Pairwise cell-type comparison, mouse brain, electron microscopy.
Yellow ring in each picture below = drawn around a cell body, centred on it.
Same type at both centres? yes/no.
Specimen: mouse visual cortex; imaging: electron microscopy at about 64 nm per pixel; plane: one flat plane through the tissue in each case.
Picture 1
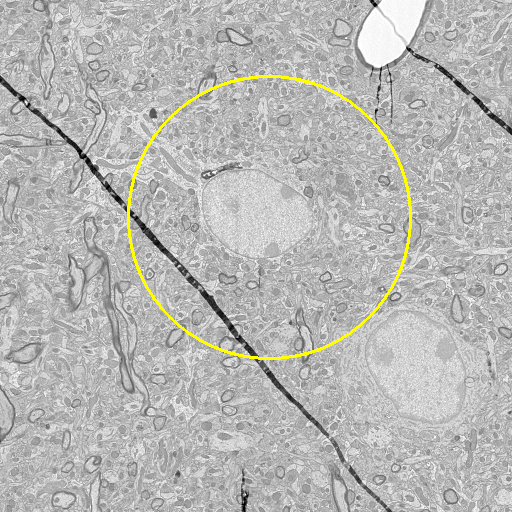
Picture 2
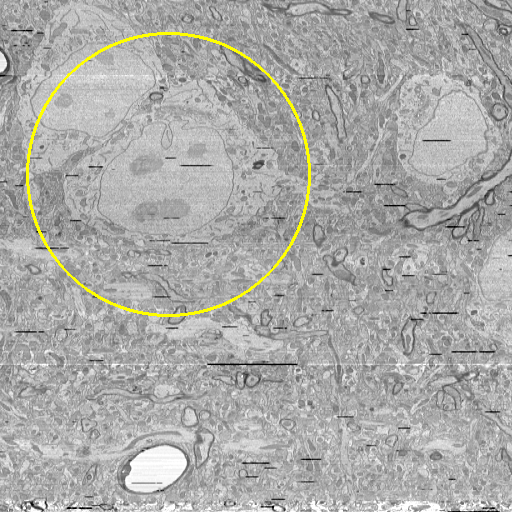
no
